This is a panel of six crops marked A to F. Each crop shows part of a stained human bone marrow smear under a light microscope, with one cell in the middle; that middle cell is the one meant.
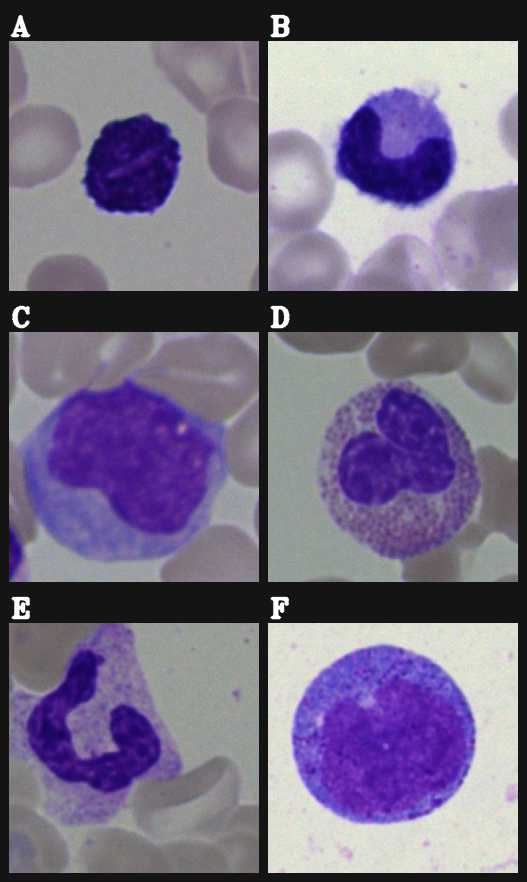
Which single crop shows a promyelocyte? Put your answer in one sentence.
Crop F, of the crops presented, is the one showing a promyelocyte.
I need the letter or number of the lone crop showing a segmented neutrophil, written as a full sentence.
Of the cells presented, the one in crop E is a segmented neutrophil.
